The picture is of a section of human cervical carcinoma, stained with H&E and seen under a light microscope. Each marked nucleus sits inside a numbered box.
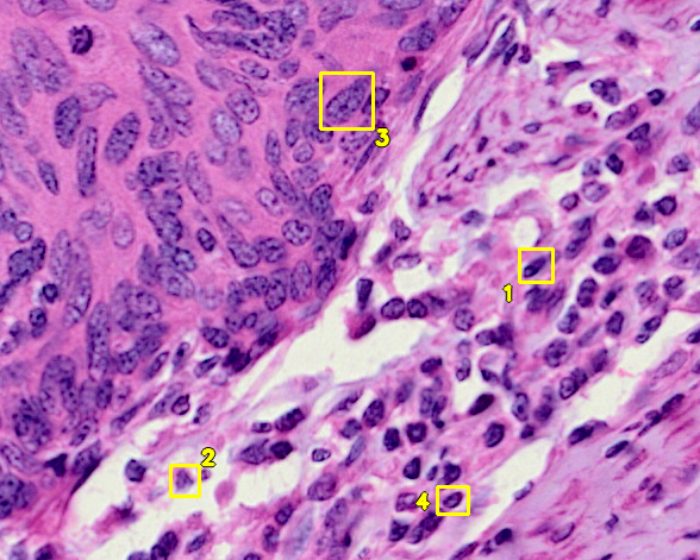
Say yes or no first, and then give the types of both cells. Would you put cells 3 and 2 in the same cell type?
No, cell 3 is a squamous carcinoma cell, while cell 2 is a lymphocyte.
